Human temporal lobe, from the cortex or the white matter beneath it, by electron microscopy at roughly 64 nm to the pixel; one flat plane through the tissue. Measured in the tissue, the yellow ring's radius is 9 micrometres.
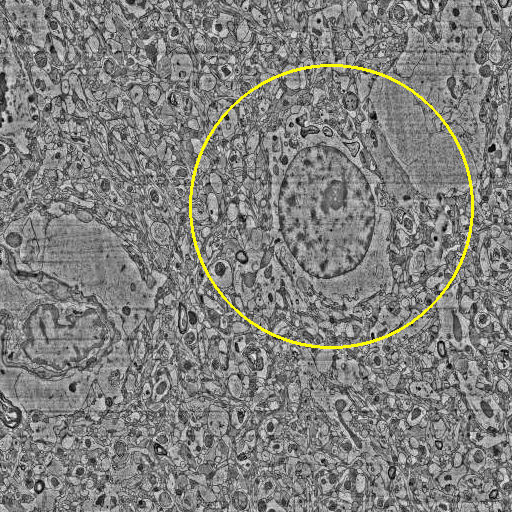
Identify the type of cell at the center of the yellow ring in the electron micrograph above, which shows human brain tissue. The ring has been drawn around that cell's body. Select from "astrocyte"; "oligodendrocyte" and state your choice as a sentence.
The yellow ring is centered on the body of an astrocyte.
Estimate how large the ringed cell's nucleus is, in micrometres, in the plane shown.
About 9 micrometres by about 6 micrometres in this plane.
